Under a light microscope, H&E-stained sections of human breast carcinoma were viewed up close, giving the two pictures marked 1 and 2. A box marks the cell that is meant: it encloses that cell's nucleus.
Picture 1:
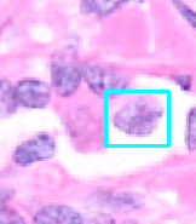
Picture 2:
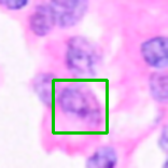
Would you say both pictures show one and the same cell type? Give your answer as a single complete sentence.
Yes, both cells are carcinoma cells.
